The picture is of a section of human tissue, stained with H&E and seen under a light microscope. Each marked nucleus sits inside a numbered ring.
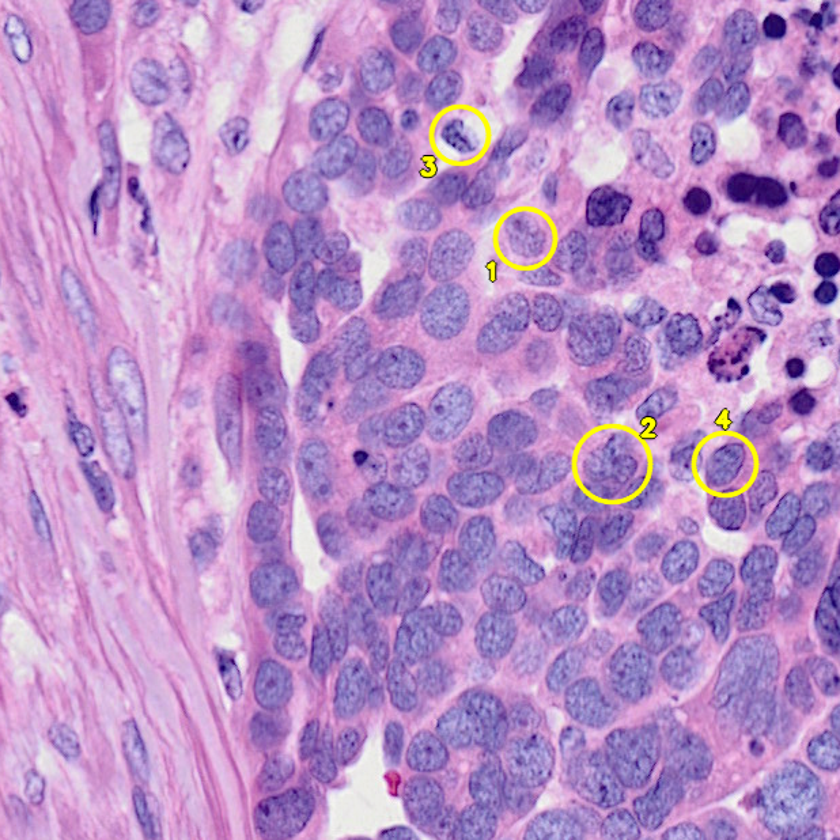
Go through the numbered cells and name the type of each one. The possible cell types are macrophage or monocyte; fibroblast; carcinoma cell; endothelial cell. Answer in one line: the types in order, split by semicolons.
carcinoma cell; carcinoma cell; macrophage or monocyte; carcinoma cell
